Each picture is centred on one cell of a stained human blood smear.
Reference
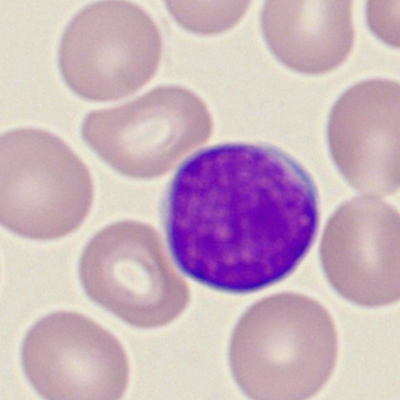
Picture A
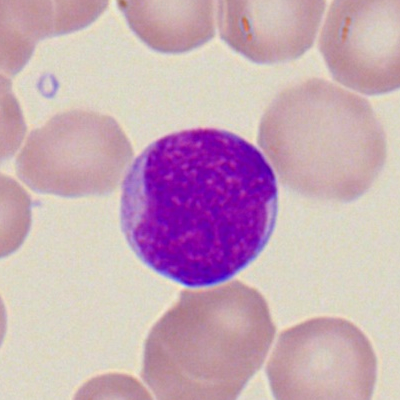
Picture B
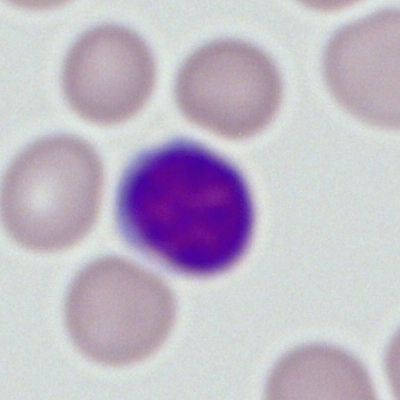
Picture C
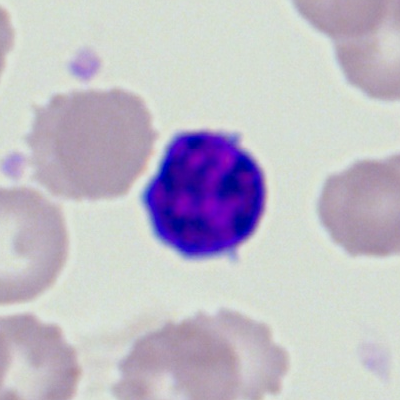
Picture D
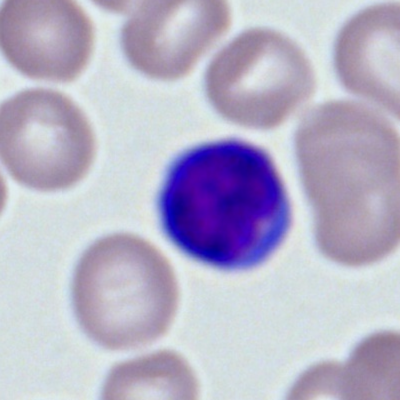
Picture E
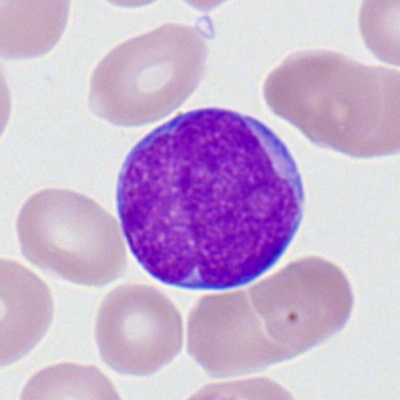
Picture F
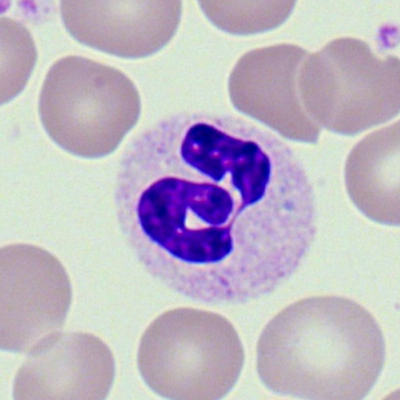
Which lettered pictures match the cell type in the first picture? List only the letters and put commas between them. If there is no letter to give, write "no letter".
A, E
